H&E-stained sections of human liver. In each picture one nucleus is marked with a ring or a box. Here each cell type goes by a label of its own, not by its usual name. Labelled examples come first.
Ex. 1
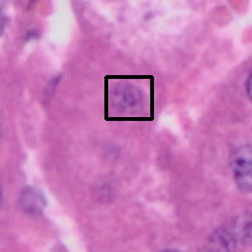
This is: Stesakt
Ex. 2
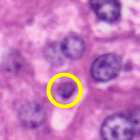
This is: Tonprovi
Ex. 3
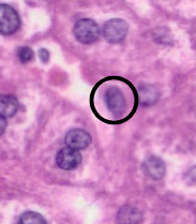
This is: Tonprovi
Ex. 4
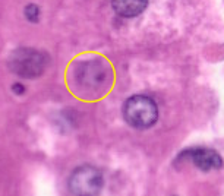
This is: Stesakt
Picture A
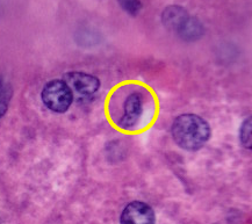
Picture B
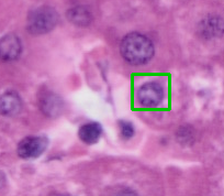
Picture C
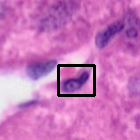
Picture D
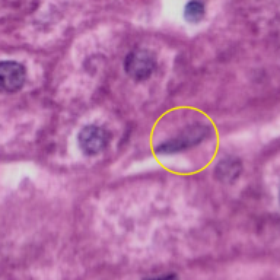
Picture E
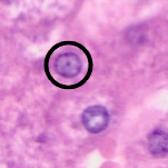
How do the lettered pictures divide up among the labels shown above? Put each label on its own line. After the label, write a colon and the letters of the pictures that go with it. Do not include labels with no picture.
Stesakt: B, E
Tonprovi: A, C, D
